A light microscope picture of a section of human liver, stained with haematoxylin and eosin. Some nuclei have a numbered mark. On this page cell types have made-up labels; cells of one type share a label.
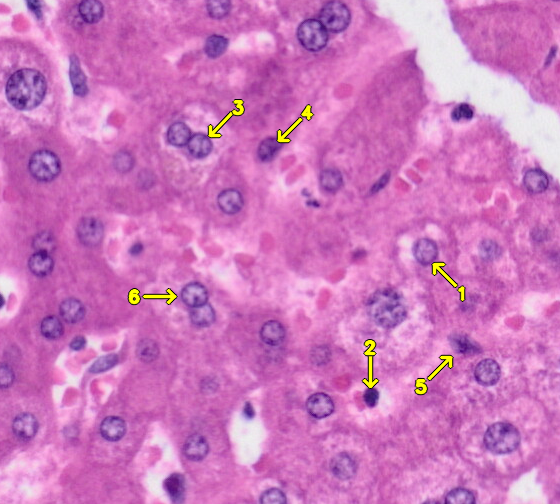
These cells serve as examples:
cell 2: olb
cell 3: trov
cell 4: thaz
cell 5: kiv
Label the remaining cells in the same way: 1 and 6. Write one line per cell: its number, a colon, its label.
1: trov
6: trov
